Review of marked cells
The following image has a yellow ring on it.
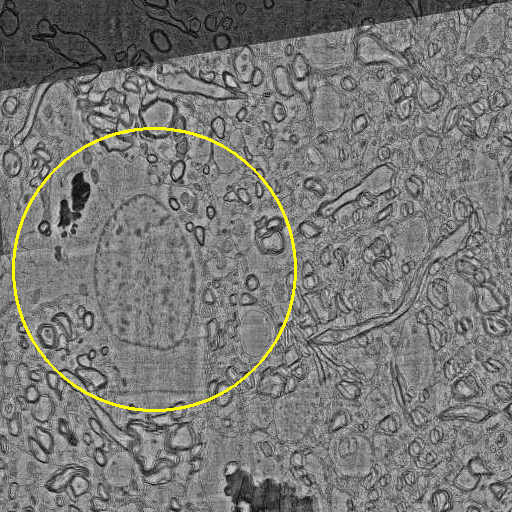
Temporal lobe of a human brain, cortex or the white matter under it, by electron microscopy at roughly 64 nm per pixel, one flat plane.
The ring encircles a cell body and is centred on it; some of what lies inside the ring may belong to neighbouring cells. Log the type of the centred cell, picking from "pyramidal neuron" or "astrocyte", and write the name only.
astrocyte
